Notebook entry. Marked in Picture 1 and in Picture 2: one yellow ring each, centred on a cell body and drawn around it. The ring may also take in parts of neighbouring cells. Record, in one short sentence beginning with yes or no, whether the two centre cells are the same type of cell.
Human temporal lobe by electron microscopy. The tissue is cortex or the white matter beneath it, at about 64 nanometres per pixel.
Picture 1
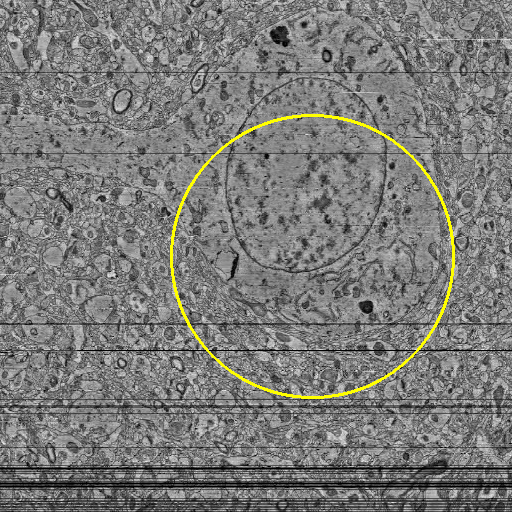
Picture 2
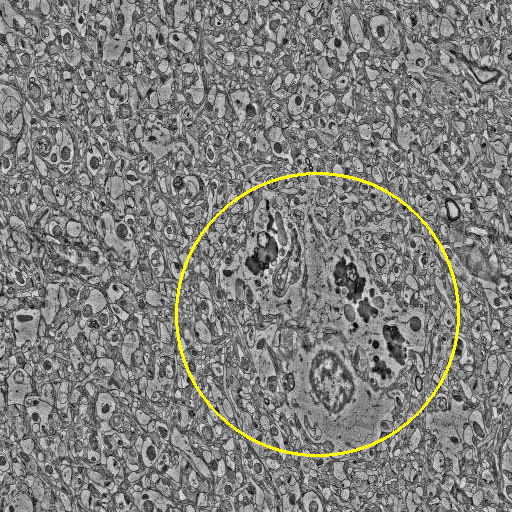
No, they are two types of cell.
